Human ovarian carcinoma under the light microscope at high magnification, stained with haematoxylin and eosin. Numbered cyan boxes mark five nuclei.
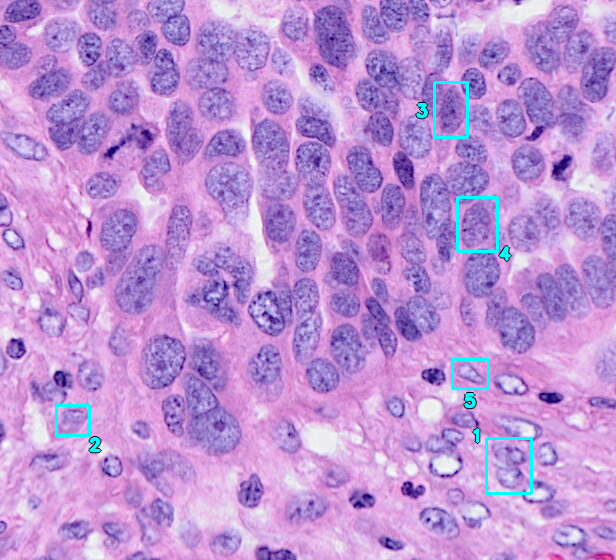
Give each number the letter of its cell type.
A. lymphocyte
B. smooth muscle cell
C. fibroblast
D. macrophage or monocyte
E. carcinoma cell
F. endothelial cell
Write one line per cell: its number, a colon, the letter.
1: C
2: C
3: E
4: E
5: C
